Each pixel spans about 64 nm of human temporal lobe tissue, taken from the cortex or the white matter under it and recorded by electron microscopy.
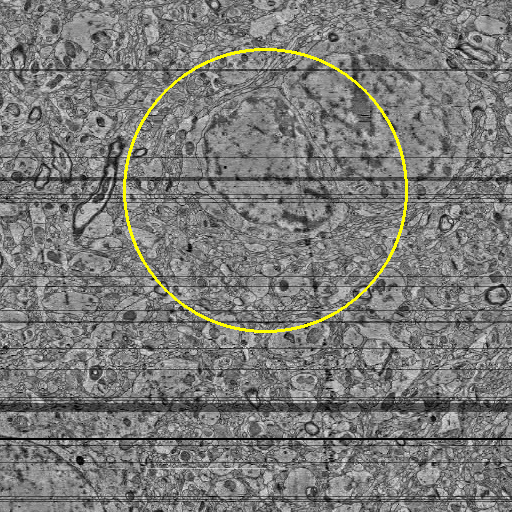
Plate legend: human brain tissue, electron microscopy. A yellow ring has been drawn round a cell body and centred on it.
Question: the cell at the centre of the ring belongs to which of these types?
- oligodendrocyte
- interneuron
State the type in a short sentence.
The cell in the middle of the ring is an interneuron.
